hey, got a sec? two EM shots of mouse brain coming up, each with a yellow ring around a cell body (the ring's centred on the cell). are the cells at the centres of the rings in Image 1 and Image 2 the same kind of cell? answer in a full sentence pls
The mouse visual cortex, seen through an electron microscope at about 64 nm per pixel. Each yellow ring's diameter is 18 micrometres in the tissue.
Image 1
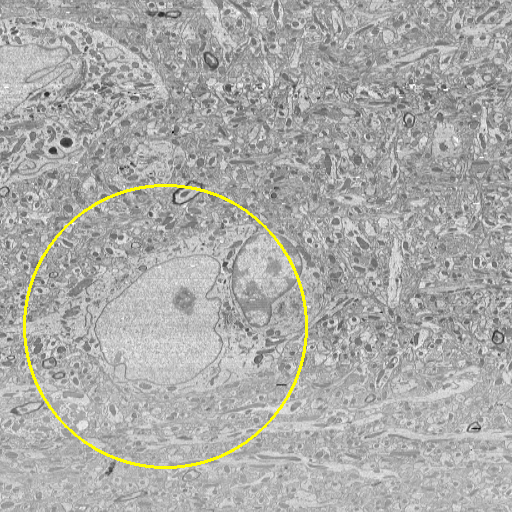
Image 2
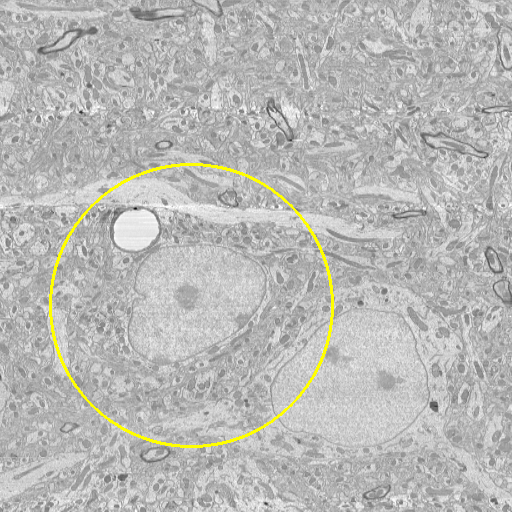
No, they are two kinds of cell.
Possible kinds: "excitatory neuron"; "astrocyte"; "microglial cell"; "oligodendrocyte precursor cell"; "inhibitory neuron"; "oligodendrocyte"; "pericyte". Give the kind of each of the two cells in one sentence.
The cell in the second picture is an astrocyte, and that in the first is an excitatory neuron.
